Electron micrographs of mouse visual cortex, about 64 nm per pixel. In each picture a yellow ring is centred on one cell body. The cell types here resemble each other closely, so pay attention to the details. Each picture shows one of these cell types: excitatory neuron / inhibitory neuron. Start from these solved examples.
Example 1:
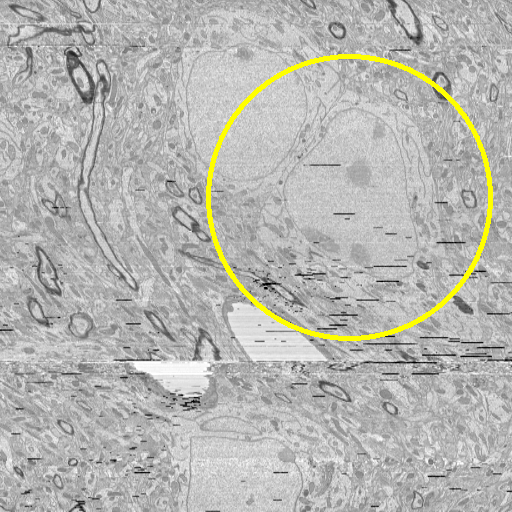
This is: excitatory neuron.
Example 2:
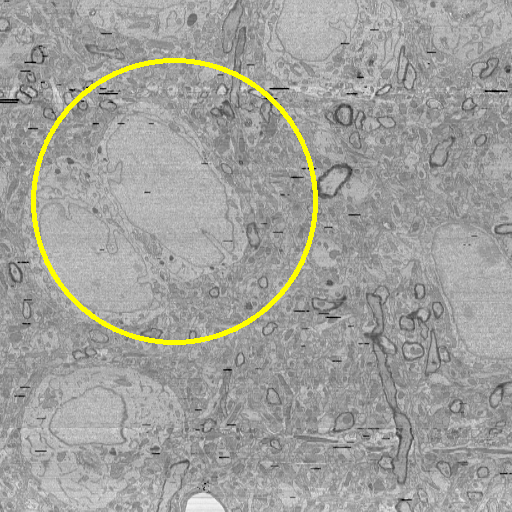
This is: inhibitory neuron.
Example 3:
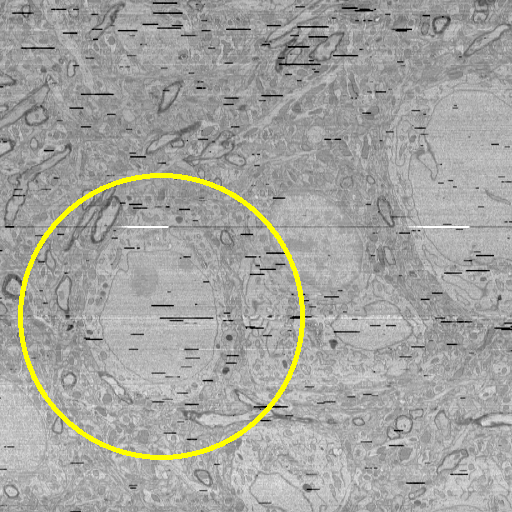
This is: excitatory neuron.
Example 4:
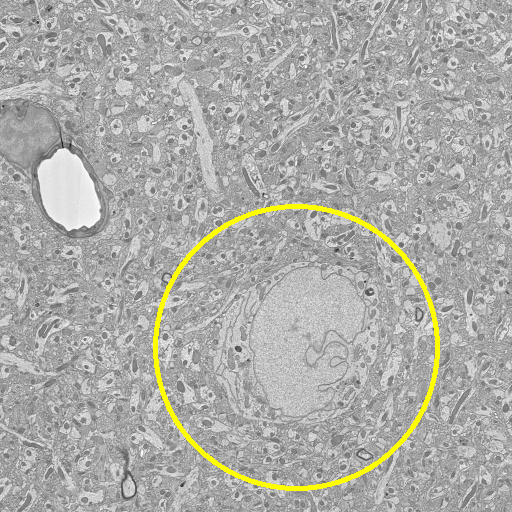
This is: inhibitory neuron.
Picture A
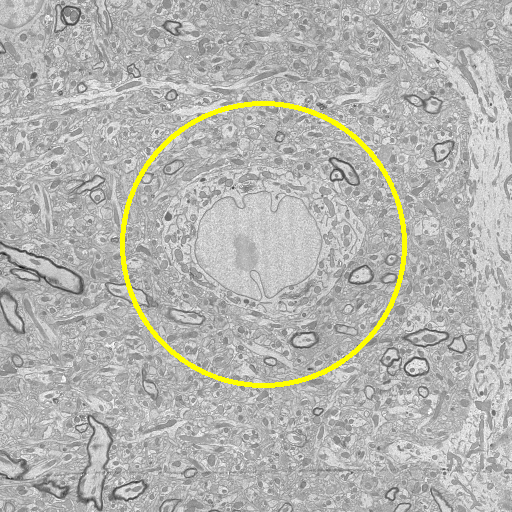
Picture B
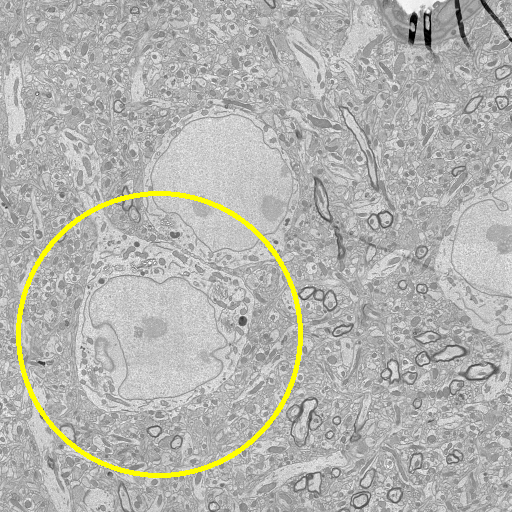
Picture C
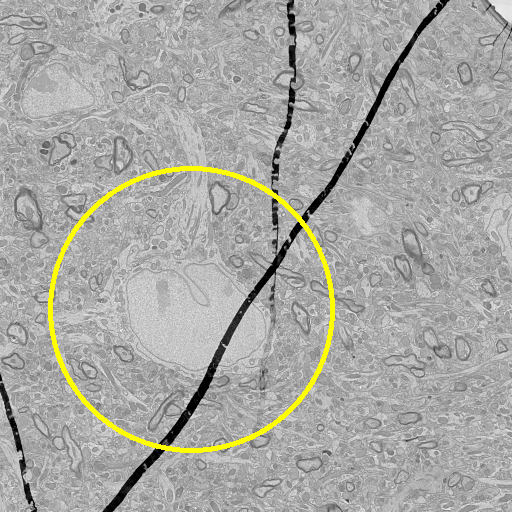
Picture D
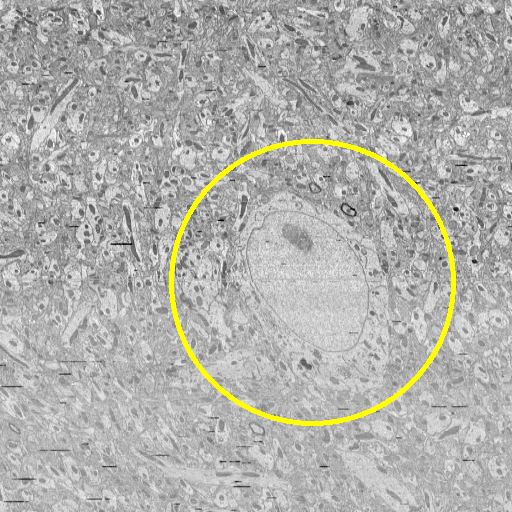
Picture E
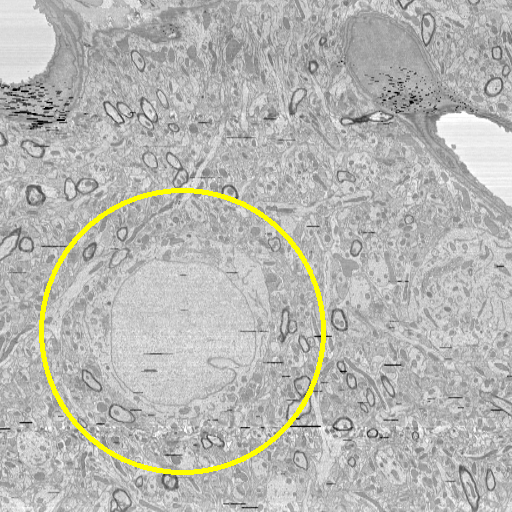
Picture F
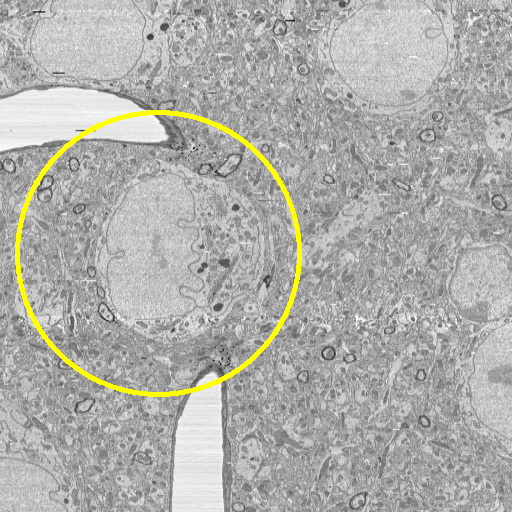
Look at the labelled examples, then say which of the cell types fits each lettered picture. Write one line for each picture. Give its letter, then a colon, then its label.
A: inhibitory neuron.
B: inhibitory neuron.
C: excitatory neuron.
D: excitatory neuron.
E: excitatory neuron.
F: inhibitory neuron.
